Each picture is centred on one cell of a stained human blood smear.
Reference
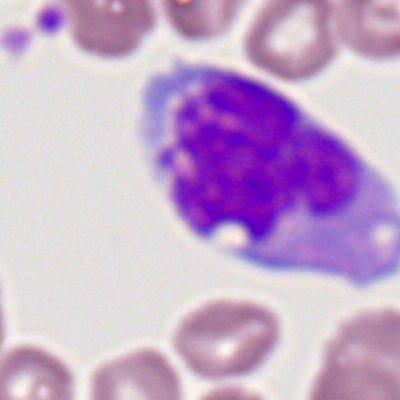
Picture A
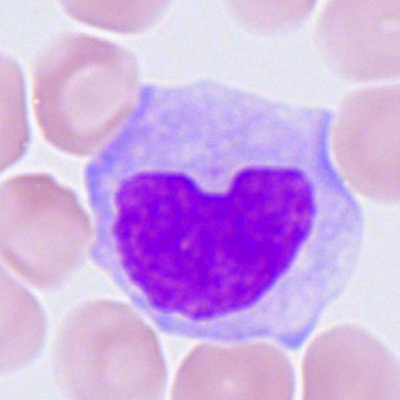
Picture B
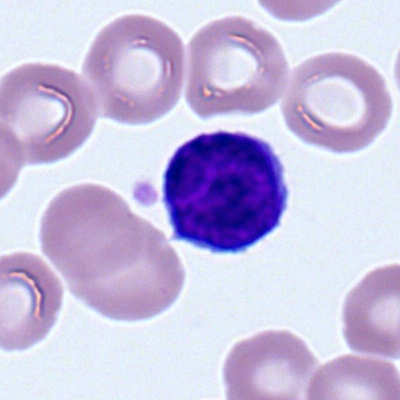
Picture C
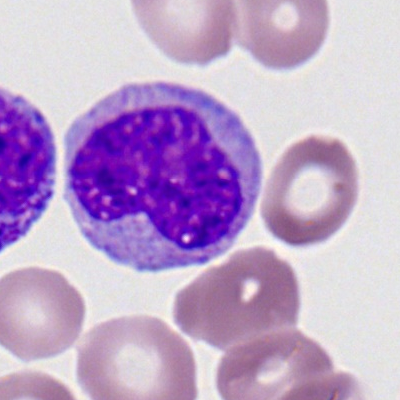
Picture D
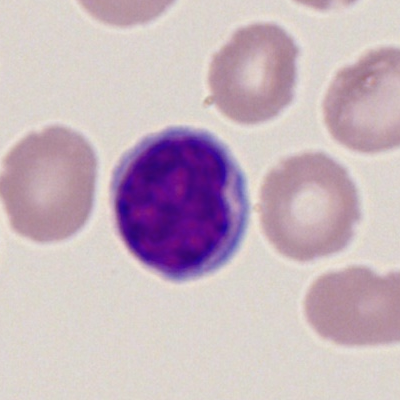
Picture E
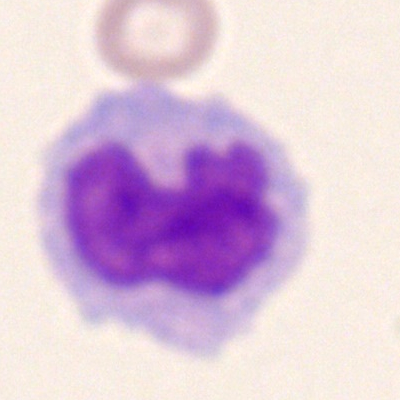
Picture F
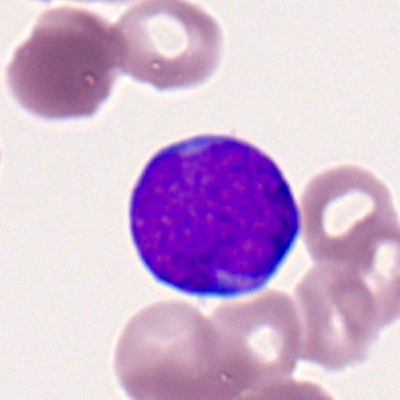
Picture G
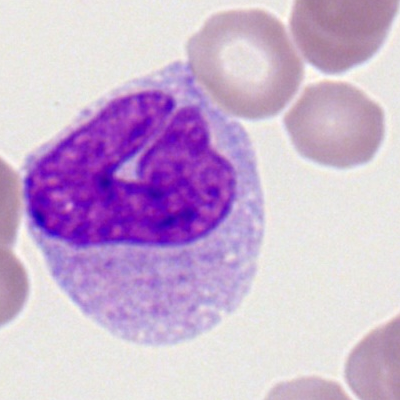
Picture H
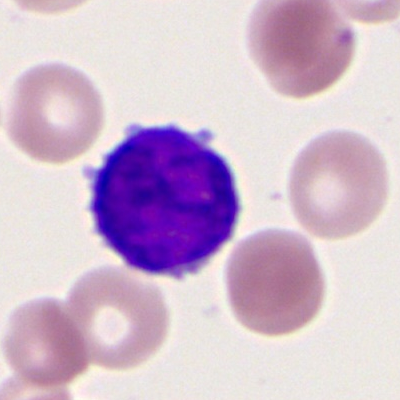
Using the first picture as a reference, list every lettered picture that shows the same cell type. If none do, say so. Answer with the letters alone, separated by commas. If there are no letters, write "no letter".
A, C, E, G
